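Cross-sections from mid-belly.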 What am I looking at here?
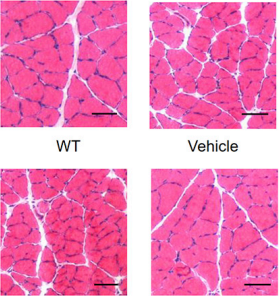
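These are transverse sections of skeletal muscle in which the individual muscle fibers are cut across as closely packed, polygonal pink profiles. Each fiber has a fairly even, finely textured cytoplasm, and its small, dark blue nuclei sit at the edge of the fiber, just under its surface. Narrow pale clefts of connective tissue separate the fibers from one another. Across the four fields the fibers vary somewhat in size, and some fields show smaller fibers than others.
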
